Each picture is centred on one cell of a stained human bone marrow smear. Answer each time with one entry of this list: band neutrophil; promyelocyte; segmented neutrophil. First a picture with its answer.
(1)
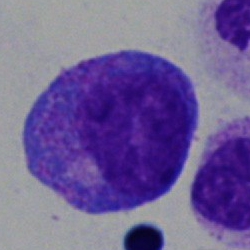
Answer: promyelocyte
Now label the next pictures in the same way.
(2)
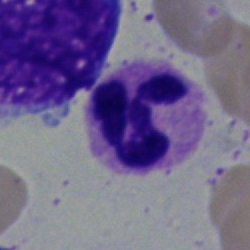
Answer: segmented neutrophil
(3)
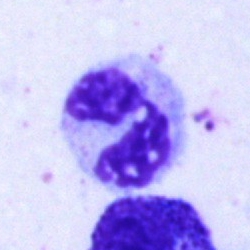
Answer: segmented neutrophil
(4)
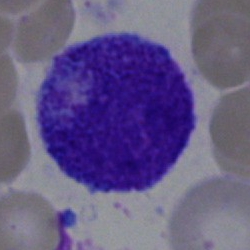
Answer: promyelocyte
